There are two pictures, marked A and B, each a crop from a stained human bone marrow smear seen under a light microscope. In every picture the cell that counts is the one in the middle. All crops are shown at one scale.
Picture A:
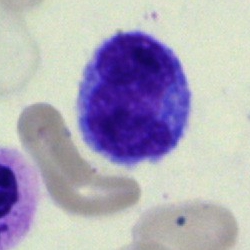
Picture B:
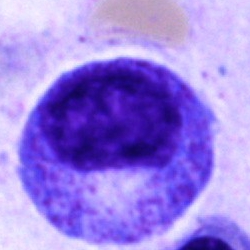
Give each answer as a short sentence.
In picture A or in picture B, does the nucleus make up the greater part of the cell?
It is the cell in picture A that is filled more by its nucleus.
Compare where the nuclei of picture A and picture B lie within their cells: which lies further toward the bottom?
Seen within its cell, the nucleus in picture A lies further toward the bottom.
